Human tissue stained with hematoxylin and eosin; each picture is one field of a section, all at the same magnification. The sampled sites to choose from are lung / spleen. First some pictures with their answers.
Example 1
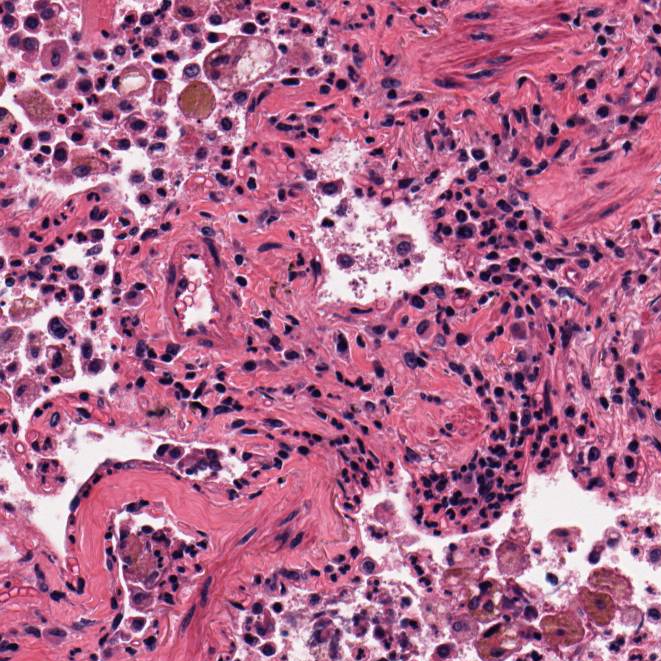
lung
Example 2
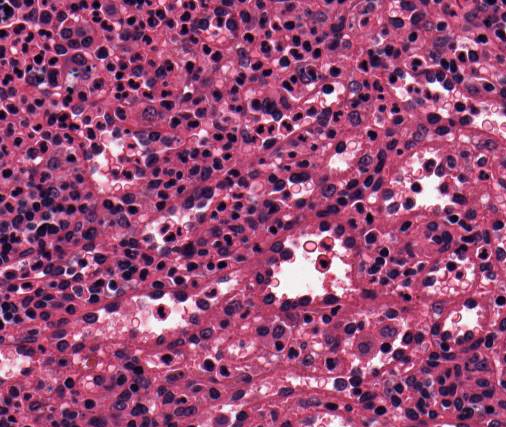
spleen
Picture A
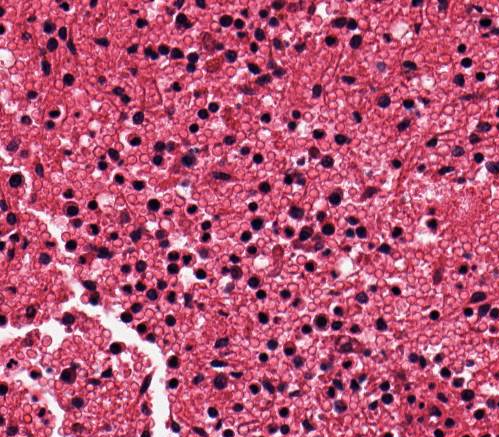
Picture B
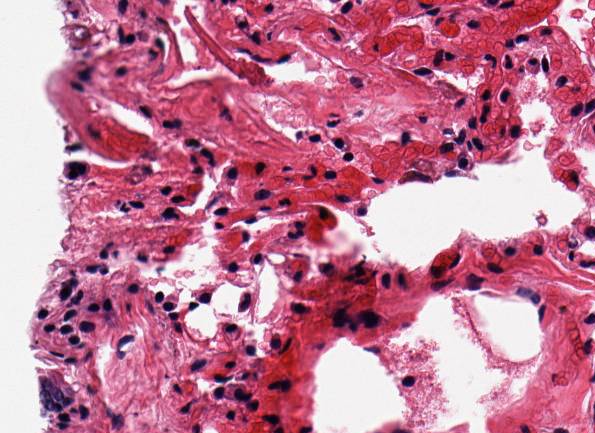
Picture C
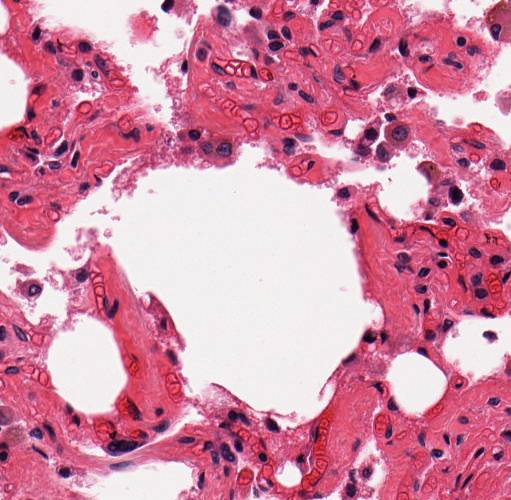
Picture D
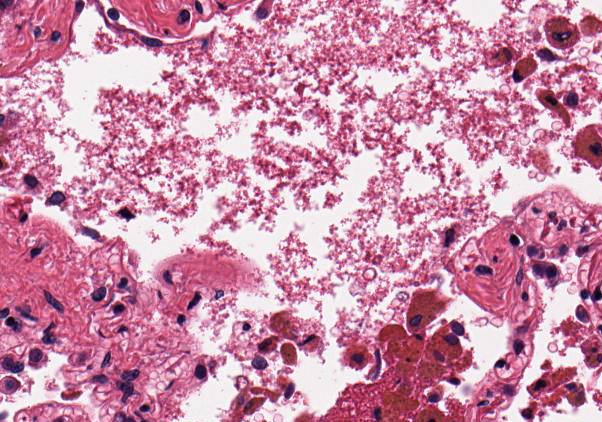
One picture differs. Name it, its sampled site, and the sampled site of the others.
A: spleen; all the others: lung.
